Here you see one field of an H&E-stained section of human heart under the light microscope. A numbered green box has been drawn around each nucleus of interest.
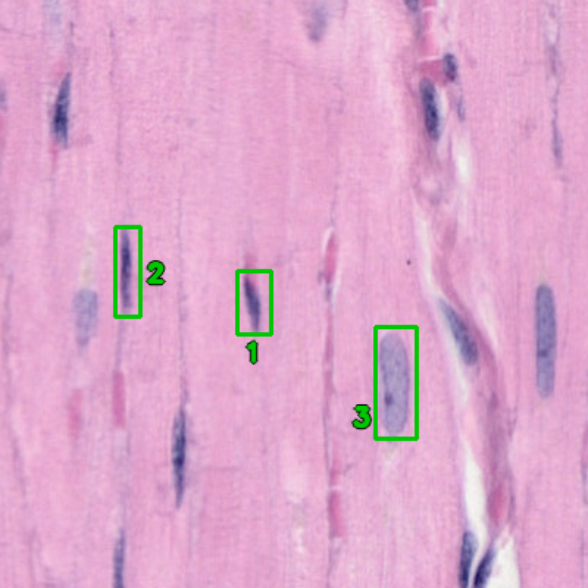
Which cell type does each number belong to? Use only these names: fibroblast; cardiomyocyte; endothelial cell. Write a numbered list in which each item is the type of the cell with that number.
1. endothelial cell
2. endothelial cell
3. cardiomyocyte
